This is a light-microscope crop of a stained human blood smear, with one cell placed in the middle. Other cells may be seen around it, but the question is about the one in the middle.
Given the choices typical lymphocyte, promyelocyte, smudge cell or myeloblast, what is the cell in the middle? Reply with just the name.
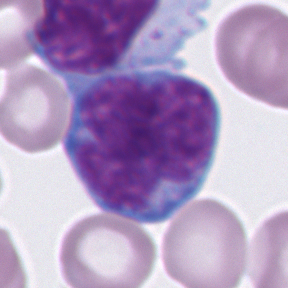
myeloblast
